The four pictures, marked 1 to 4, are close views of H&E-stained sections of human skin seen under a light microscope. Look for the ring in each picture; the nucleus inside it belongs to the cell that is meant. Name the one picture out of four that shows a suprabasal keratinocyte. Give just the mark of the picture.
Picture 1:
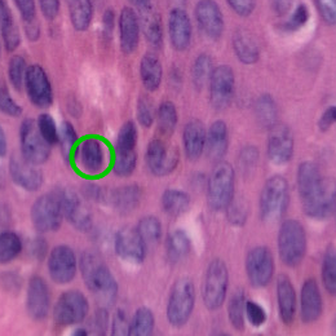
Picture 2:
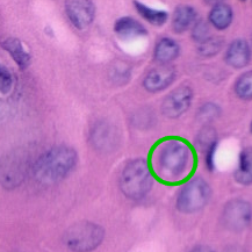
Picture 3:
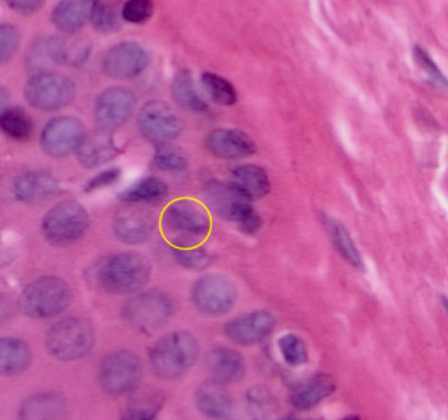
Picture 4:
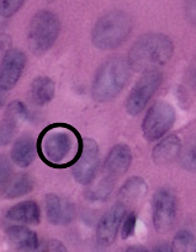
2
